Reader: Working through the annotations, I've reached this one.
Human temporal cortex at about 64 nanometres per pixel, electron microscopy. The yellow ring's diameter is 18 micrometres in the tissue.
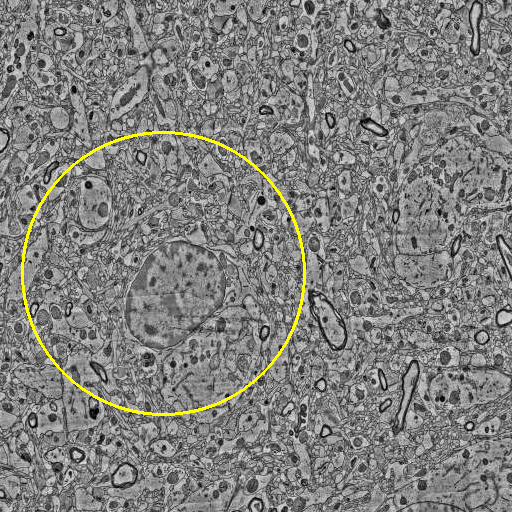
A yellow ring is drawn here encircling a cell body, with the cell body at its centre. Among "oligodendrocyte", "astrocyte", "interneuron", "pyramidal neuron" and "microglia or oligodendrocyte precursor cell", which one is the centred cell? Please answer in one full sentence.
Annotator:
The cell body at the centre of the yellow ring in this image belongs to a microglial cell or oligodendrocyte precursor cell.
